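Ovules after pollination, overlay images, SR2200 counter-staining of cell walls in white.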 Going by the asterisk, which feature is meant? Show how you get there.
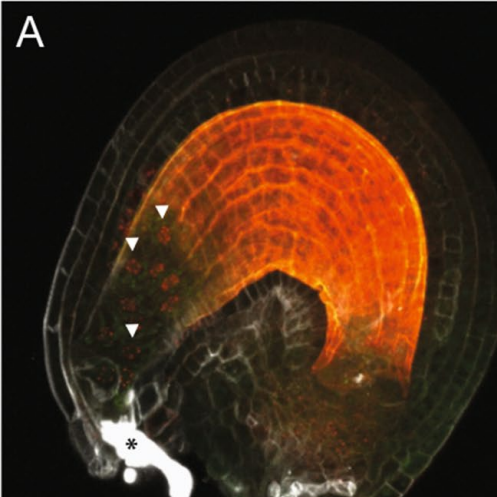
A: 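A bright white tube enters the ovule at its lower left tip. The tube extends beyond the ovule outline at the bottom.
Answer: pollen tubes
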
